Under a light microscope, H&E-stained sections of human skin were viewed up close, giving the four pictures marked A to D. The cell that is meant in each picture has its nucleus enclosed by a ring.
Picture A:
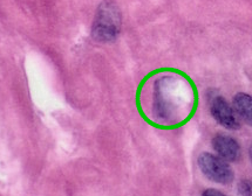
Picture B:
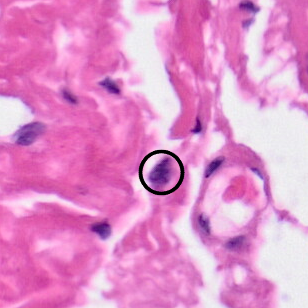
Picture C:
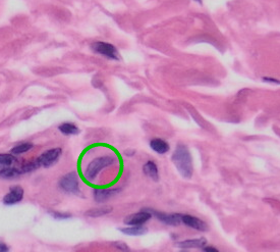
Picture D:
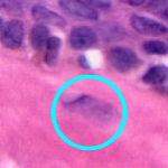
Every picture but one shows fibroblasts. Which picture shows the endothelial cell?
C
